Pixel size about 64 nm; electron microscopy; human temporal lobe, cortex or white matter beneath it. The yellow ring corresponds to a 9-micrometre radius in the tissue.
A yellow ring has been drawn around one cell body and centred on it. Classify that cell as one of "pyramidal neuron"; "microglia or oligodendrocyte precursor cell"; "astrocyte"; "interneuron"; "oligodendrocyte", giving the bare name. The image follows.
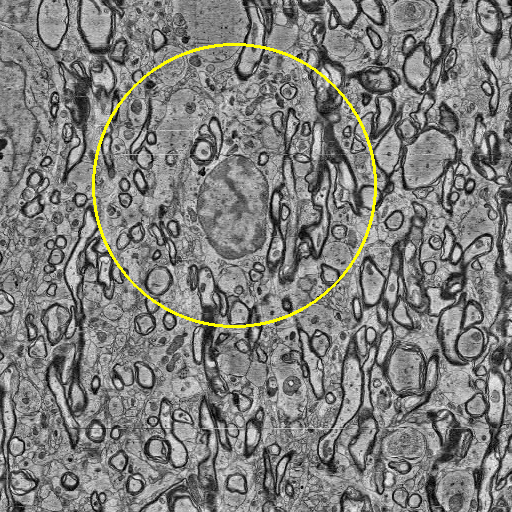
microglia or oligodendrocyte precursor cell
